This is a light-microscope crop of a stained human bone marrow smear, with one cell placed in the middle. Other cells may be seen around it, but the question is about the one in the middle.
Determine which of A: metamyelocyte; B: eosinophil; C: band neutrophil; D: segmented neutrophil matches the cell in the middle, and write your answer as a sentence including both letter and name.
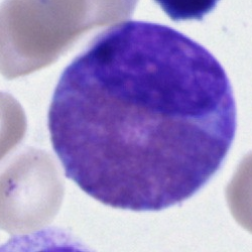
The cell positioned centrally is an eosinophil, as given in option B, which is correct.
